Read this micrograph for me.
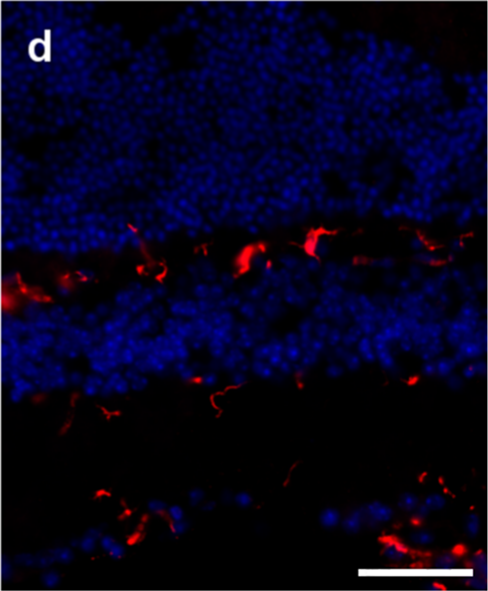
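This is a cross-section of retina with its layers stacked top to bottom, and the red cells are microglia. At the top a thick band of densely packed small blue nuclei forms the outer nuclear layer; below a thin dark outer plexiform band follows the thinner blue inner nuclear layer, then a broad dark inner plexiform layer and a sparse row of nuclei in the ganglion cell layer. The microglia have small bright bodies with short, thin, branching processes and lie chiefly in the dark plexiform bands, several in the outer plexiform layer and others near the inner plexiform and ganglion cell layers.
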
